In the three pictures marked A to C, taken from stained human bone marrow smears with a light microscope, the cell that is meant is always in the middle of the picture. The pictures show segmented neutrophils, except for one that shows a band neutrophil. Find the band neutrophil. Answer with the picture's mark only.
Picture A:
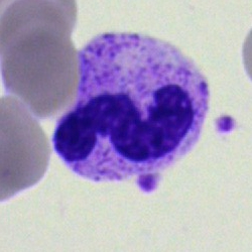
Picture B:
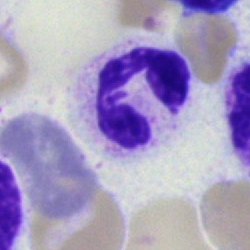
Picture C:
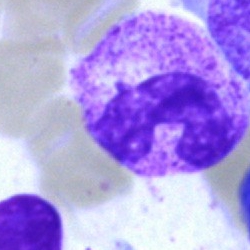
C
